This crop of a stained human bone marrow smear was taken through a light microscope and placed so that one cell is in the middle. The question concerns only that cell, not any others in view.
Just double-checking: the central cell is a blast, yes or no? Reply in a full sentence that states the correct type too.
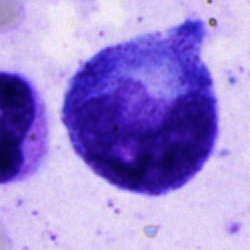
No, the centre cell counts as a promyelocyte, not as a blast.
